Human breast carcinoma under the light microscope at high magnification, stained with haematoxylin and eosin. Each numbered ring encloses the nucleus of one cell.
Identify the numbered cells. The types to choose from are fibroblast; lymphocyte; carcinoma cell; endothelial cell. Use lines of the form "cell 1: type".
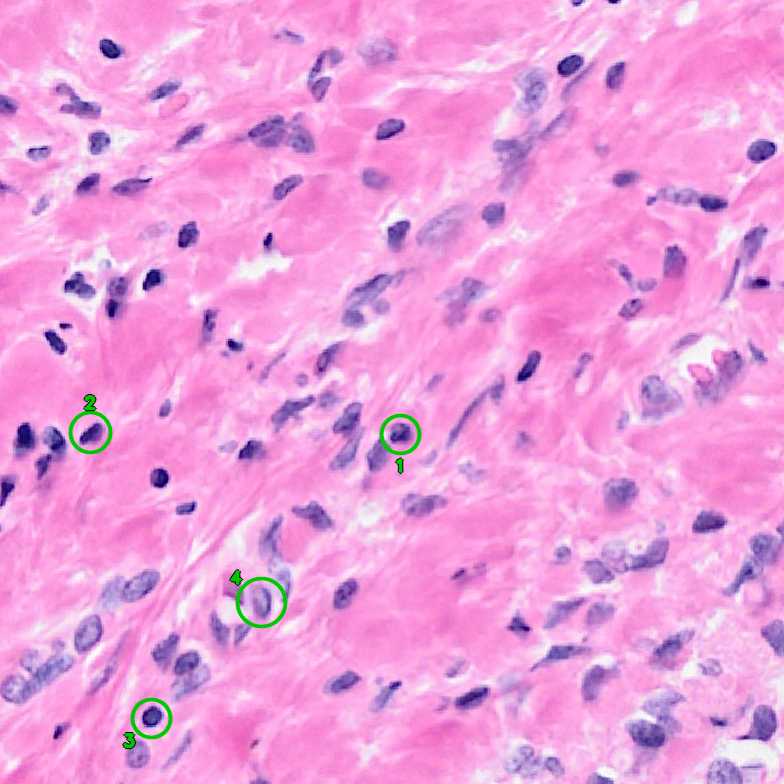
cell 1: lymphocyte
cell 2: lymphocyte
cell 3: lymphocyte
cell 4: endothelial cell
